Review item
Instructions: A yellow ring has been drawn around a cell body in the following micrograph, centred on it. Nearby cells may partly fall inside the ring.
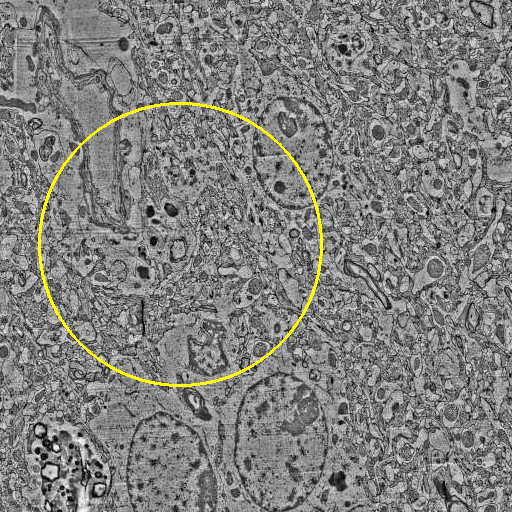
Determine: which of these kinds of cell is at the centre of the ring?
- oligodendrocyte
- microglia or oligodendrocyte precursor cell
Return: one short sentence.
The cell body in the middle of the ring is that of a microglial cell or oligodendrocyte precursor cell.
